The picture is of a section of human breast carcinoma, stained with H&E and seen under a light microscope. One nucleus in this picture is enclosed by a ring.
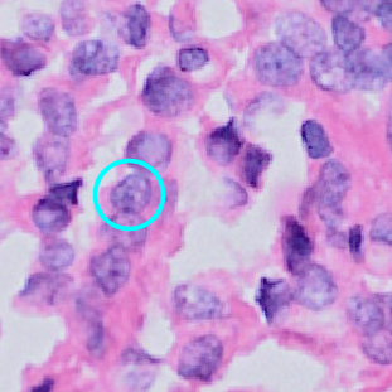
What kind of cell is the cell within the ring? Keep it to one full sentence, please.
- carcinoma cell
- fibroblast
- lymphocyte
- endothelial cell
The category to which the cell within the ring belongs is that of a carcinoma cell.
